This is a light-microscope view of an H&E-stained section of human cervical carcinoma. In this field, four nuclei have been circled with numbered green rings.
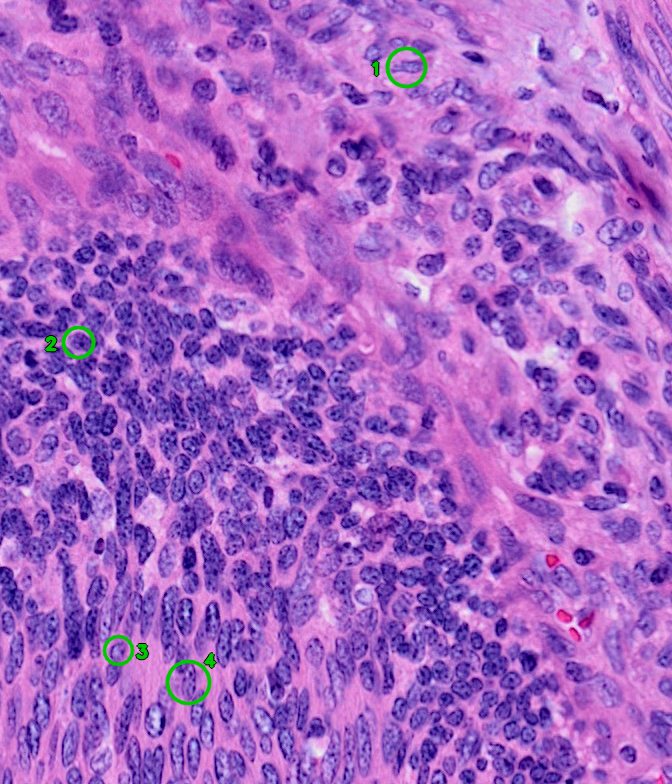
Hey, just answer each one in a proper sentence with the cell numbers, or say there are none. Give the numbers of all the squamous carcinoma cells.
The cells referred to by the numbers 2, 3 and 4 are squamous carcinoma cells.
